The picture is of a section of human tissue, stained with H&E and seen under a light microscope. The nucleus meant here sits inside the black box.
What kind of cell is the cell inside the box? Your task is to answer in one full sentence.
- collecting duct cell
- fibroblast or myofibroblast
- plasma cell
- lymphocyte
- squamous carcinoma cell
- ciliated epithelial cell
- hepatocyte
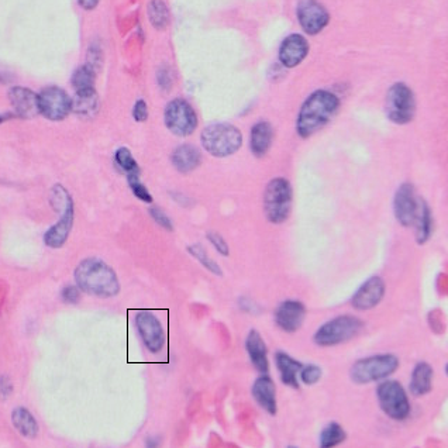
In the stained section, the cell inside the box is a collecting duct cell.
